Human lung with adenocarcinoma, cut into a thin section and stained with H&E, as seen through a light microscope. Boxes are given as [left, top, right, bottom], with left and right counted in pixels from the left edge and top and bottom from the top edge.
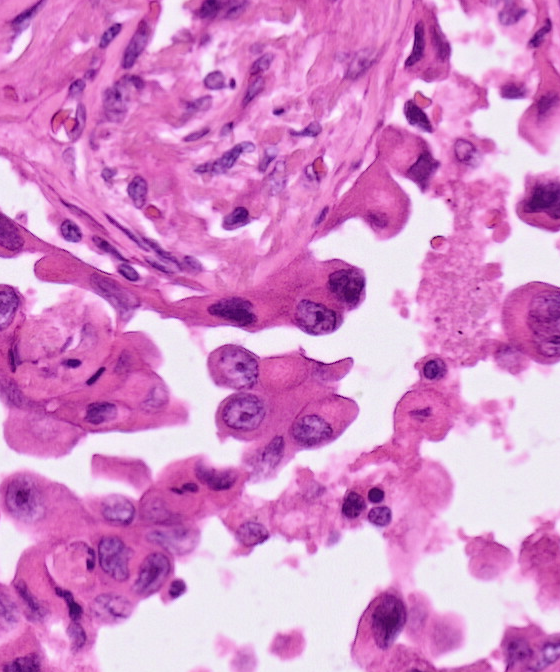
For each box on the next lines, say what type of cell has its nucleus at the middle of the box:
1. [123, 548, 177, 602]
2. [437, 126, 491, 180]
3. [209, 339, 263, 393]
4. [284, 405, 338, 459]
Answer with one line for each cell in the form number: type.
1: carcinoma cell
2: macrophage or monocyte
3: carcinoma cell
4: carcinoma cell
